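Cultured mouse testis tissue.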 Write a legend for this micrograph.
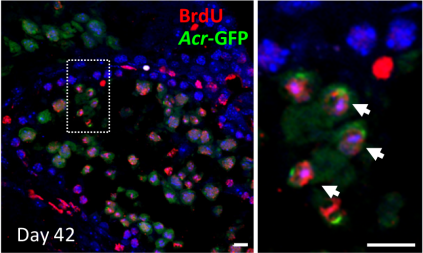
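Many small round cells lie grouped together, each with a round blue nucleus and a faint green rim or patch beside the nucleus. Several of these cells also show red signal over the nucleus. In the enlargement, the arrowed round cells show the red nucleus with a green patch pressed against one side of it.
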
